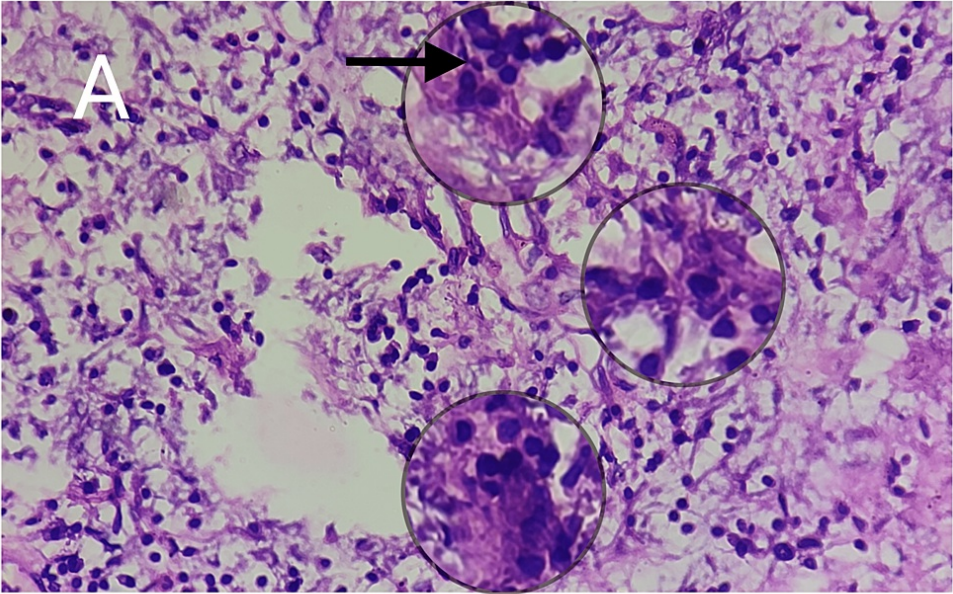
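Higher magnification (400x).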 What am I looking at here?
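Loose, pale, vacuolated stroma contains scattered multinucleated giant cells among numerous small round cells with dark nuclei. In the enlarged circles, the giant cells show several dark nuclei clustered together within pink cytoplasm. The background has a loose network of pink fibrillary material with clear spaces of varying size.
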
